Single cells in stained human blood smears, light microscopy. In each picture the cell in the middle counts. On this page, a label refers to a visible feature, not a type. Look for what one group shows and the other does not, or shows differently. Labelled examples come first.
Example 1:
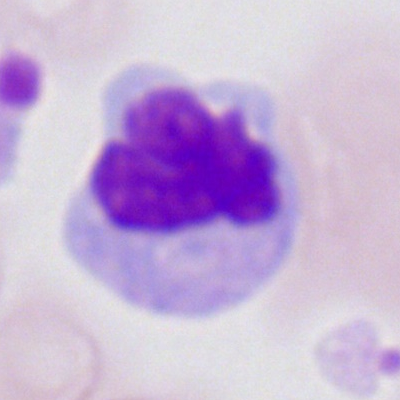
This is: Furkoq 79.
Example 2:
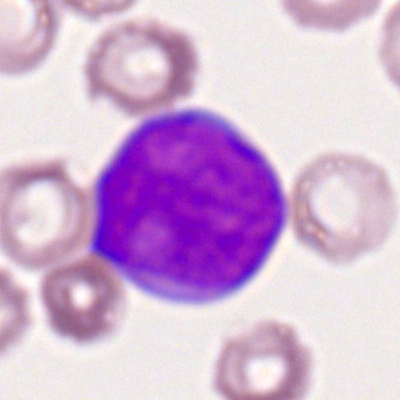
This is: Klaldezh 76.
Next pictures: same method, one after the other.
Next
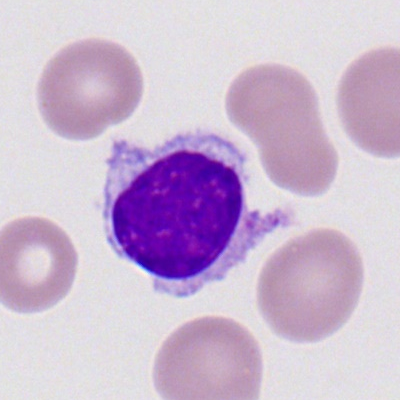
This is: Furkoq 79.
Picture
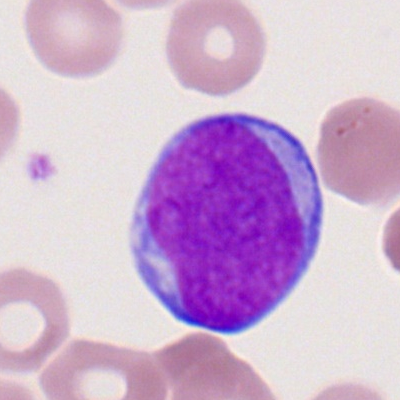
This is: Klaldezh 76.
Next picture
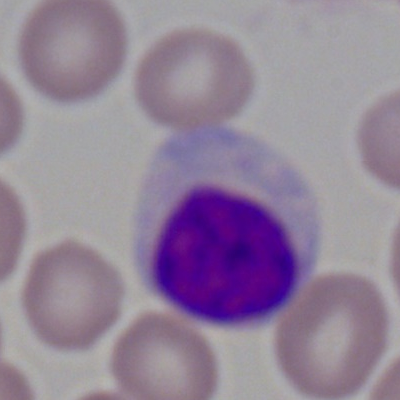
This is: Klaldezh 76.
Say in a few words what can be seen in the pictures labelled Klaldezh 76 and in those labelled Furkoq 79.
Klaldezh 76: smooth outline; Furkoq 79: ragged outline or projections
